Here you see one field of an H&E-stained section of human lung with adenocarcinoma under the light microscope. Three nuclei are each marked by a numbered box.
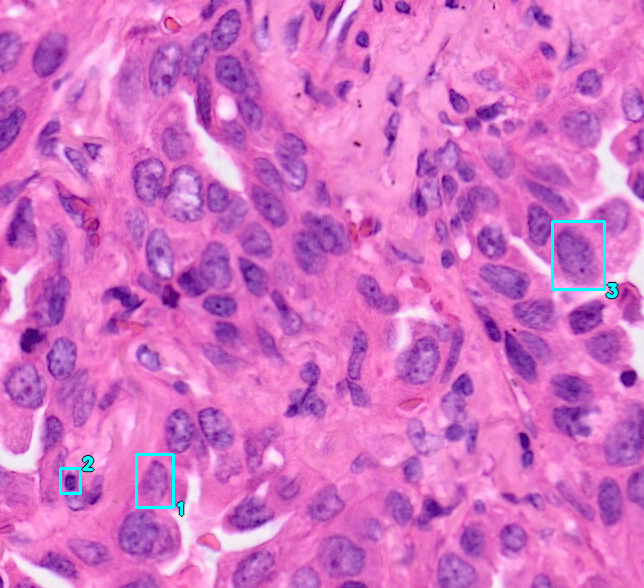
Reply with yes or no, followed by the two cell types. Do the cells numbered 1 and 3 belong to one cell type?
Yes, cells 1 and 3 both belong among the carcinoma cells.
